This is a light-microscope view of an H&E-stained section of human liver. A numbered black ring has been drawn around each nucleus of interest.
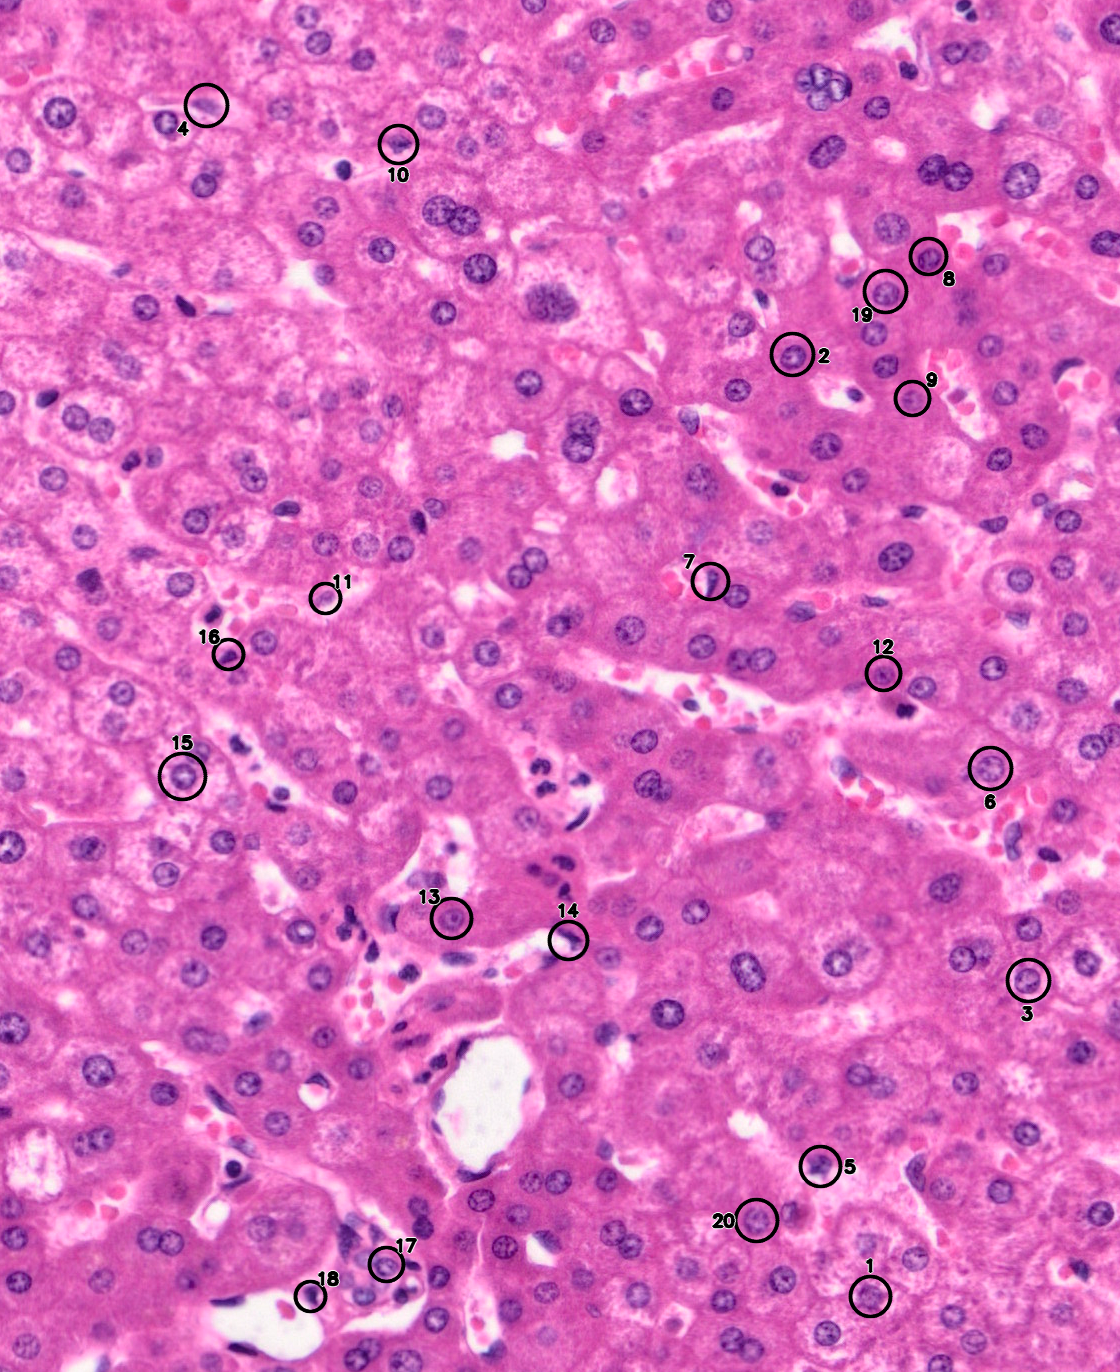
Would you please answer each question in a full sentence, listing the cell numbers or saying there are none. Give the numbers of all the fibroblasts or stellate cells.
Regarding the numbered cells 7, 14, 16 and 18, these are fibroblasts or stellate cells.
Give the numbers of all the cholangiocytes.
Cell 17 is a cholangiocyte, which is true of none of the other numbered cells.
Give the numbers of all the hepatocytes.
Into the category of hepatocytes fall the cells numbered 1, 2, 3, 6, 8, 9, 12, 13, 15, 19 and 20.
